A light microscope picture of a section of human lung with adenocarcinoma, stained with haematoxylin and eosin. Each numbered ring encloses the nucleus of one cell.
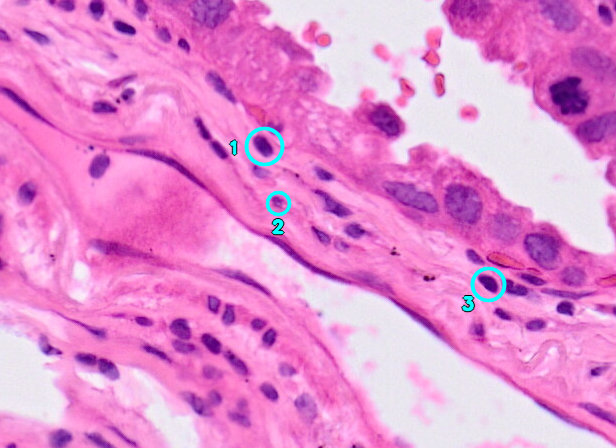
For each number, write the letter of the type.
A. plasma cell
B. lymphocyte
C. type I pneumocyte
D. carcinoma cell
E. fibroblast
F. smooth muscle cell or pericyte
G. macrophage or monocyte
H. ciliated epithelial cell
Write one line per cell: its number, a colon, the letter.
1: B
2: F
3: B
